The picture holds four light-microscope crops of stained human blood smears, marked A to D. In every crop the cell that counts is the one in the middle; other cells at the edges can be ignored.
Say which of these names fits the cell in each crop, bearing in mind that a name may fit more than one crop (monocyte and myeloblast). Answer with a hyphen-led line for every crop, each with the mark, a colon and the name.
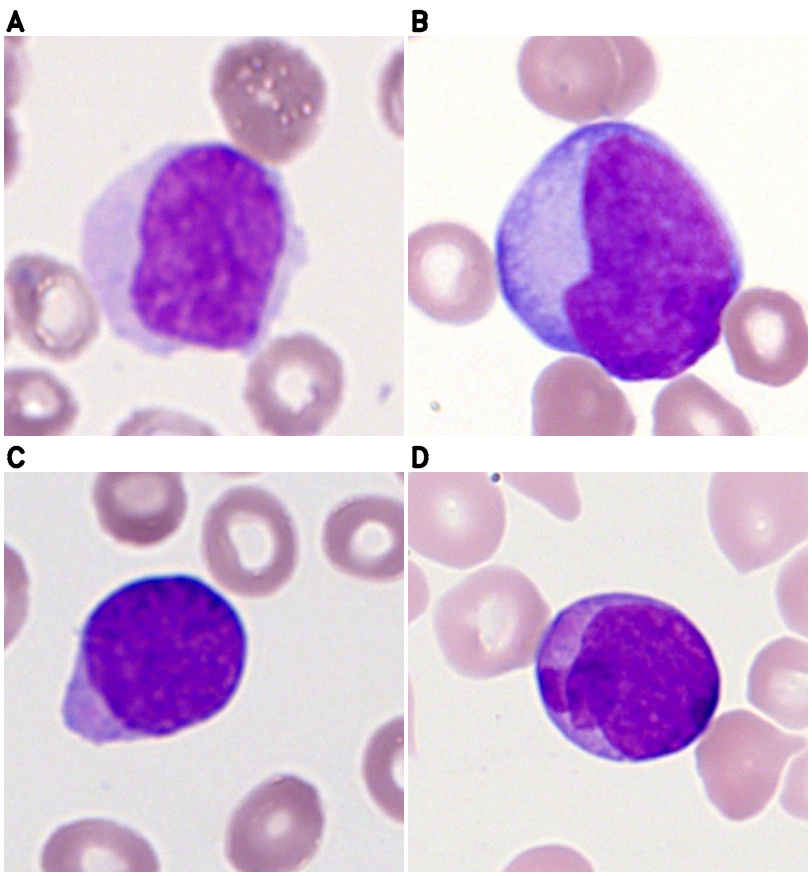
- A: monocyte
- B: myeloblast
- C: myeloblast
- D: myeloblast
